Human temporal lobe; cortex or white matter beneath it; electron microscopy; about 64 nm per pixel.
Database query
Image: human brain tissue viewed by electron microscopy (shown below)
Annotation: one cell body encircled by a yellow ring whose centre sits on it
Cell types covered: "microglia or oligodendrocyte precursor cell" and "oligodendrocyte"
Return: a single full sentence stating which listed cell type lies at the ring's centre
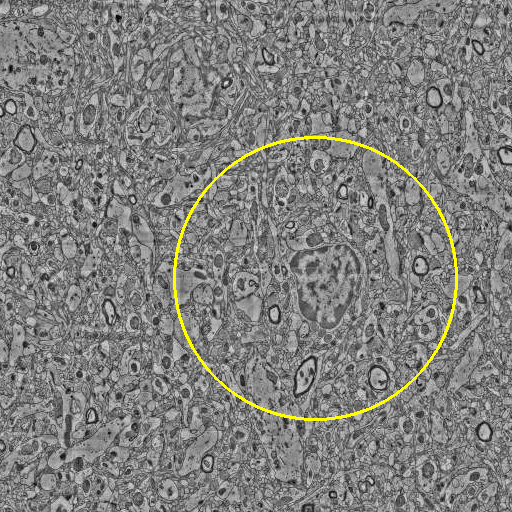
In the image, the cell lying at the ring's centre is a microglial cell or oligodendrocyte precursor cell.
